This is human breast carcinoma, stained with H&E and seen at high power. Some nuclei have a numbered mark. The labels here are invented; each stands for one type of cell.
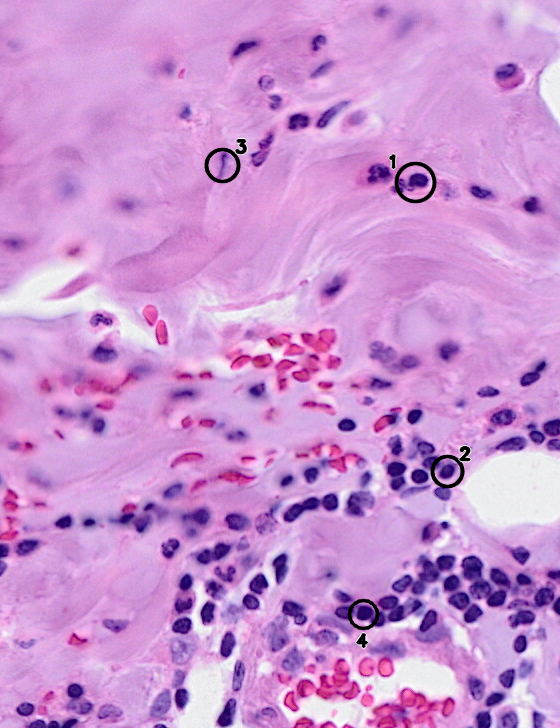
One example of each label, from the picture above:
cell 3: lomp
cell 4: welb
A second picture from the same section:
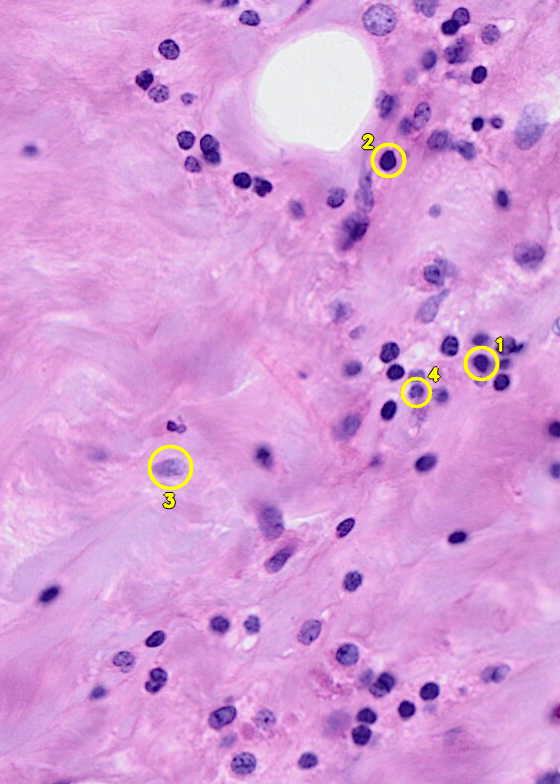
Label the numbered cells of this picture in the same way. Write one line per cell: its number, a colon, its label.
1: welb
2: welb
3: lomp
4: welb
